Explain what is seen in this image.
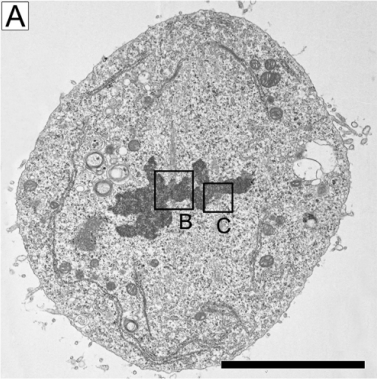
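A whole rounded cell in metaphase is seen in thin section, with its dense, condensed chromatin gathered into a compact central mass. No nuclear envelope surrounds the chromatin, and the cytoplasm around it holds scattered mitochondria, vesicles and profiles of membrane.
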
